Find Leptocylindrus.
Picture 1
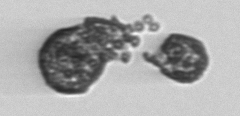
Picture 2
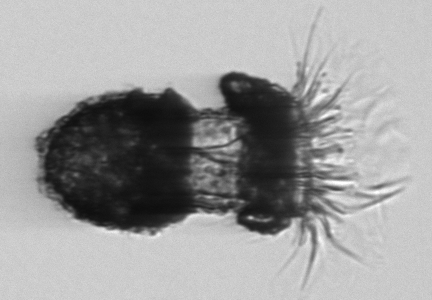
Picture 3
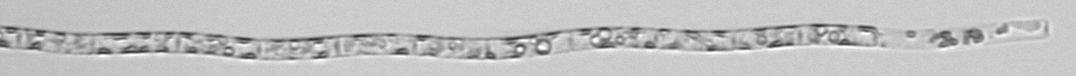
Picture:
3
